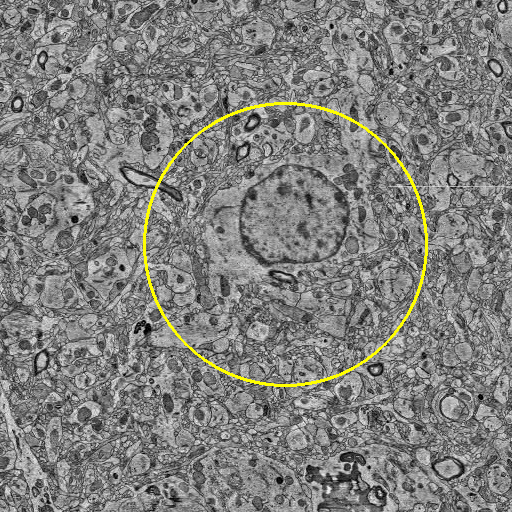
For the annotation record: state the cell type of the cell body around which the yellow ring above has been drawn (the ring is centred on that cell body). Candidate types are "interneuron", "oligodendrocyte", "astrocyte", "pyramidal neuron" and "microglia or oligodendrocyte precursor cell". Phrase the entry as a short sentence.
The ringed cell is an astrocyte.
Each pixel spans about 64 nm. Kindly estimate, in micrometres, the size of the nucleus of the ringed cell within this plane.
Approximately 7 micrometres across, in this plane.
